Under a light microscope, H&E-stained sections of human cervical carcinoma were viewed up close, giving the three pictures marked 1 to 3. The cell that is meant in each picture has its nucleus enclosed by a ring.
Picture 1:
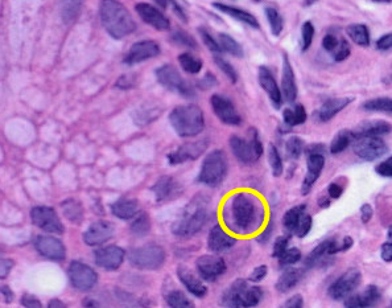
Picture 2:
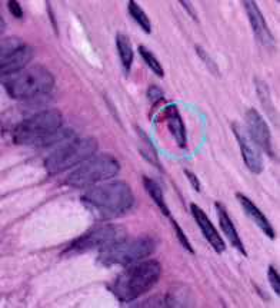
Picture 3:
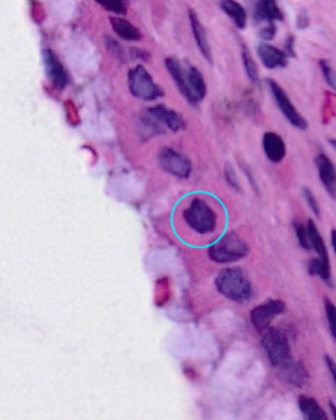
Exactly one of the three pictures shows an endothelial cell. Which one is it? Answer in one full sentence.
Picture 2 is the one that shows the endothelial cell.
